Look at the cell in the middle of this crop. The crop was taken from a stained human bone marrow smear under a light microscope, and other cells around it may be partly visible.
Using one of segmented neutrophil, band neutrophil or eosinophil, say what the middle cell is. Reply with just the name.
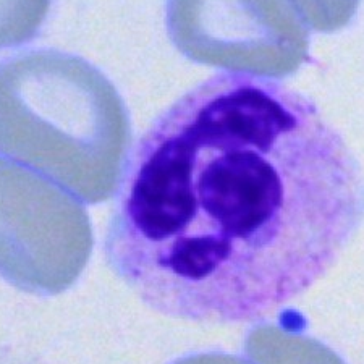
segmented neutrophil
